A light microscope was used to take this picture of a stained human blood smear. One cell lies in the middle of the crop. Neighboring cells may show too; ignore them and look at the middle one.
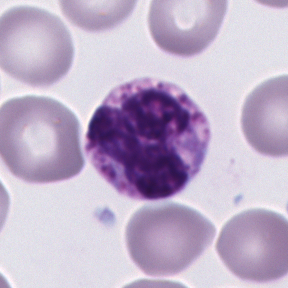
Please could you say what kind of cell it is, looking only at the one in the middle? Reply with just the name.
basophil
